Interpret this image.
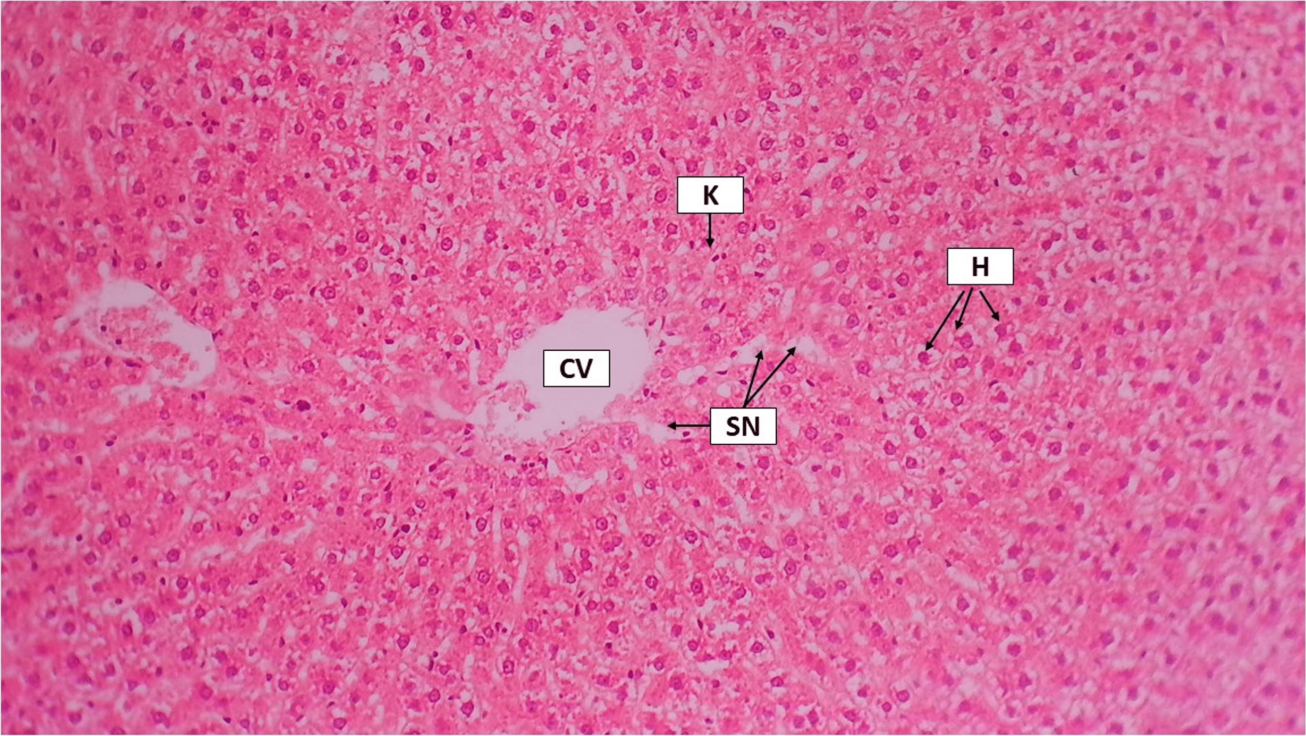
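This is liver tissue in which cords of hepatocytes radiate outward from a central vein, with sinusoids between the cords. The sinusoids appear as narrow, pale, slit-like spaces between the cell cords, and a few small, dark, elongated nuclei of lining cells lie along them. The central vein is a wide pale lumen near the middle of the field, and another vessel containing blood cells lies toward the left.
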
